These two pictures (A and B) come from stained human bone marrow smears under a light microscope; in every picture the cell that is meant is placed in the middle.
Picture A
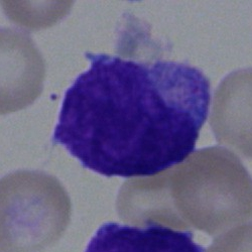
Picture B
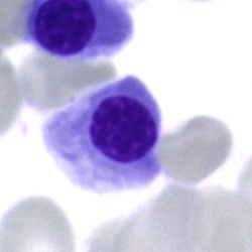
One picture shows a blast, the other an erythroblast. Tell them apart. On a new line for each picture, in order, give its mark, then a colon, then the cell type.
A: blast
B: erythroblast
